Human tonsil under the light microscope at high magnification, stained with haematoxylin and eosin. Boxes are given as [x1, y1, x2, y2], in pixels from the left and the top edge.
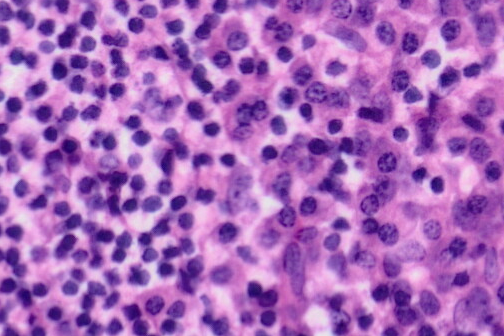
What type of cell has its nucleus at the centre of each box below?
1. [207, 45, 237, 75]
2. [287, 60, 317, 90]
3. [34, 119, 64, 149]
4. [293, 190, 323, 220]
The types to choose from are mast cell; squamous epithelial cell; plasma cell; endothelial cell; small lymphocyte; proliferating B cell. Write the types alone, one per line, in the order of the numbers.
plasma cell
plasma cell
small lymphocyte
plasma cell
